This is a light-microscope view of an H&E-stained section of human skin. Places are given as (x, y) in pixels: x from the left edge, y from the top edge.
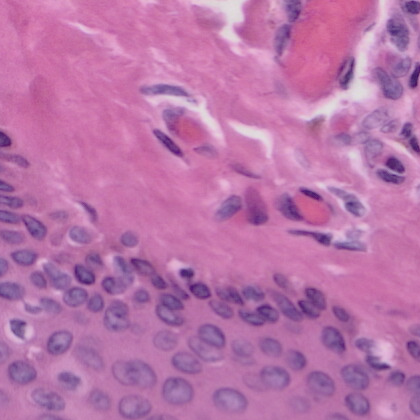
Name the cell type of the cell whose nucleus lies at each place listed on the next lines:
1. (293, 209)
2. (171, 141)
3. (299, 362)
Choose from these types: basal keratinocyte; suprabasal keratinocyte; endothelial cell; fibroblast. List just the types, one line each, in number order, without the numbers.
endothelial cell
fibroblast
suprabasal keratinocyte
